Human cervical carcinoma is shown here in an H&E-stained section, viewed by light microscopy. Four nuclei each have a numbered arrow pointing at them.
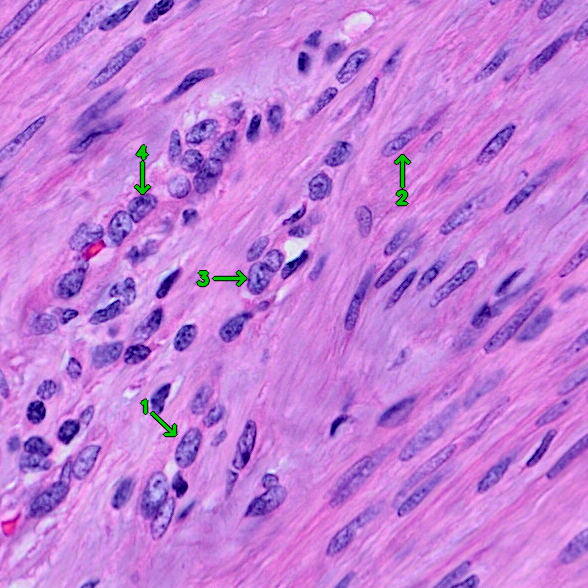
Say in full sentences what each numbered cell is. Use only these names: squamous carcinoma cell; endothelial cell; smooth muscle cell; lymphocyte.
Cells 1, 3 and 4 are endothelial cells. Cell 2 is a smooth muscle cell.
